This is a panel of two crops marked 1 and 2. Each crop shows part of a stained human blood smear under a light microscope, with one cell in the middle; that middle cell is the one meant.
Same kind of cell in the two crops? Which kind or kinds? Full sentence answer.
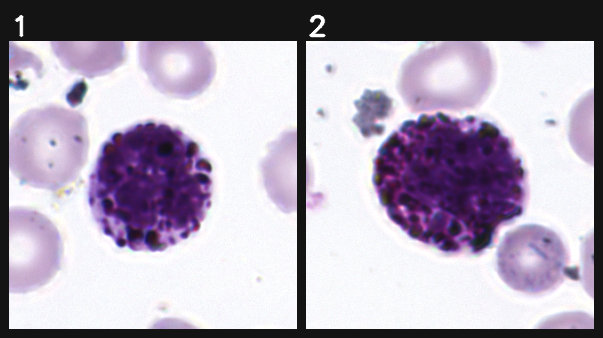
Yes, both crops show basophils, the one and the other.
